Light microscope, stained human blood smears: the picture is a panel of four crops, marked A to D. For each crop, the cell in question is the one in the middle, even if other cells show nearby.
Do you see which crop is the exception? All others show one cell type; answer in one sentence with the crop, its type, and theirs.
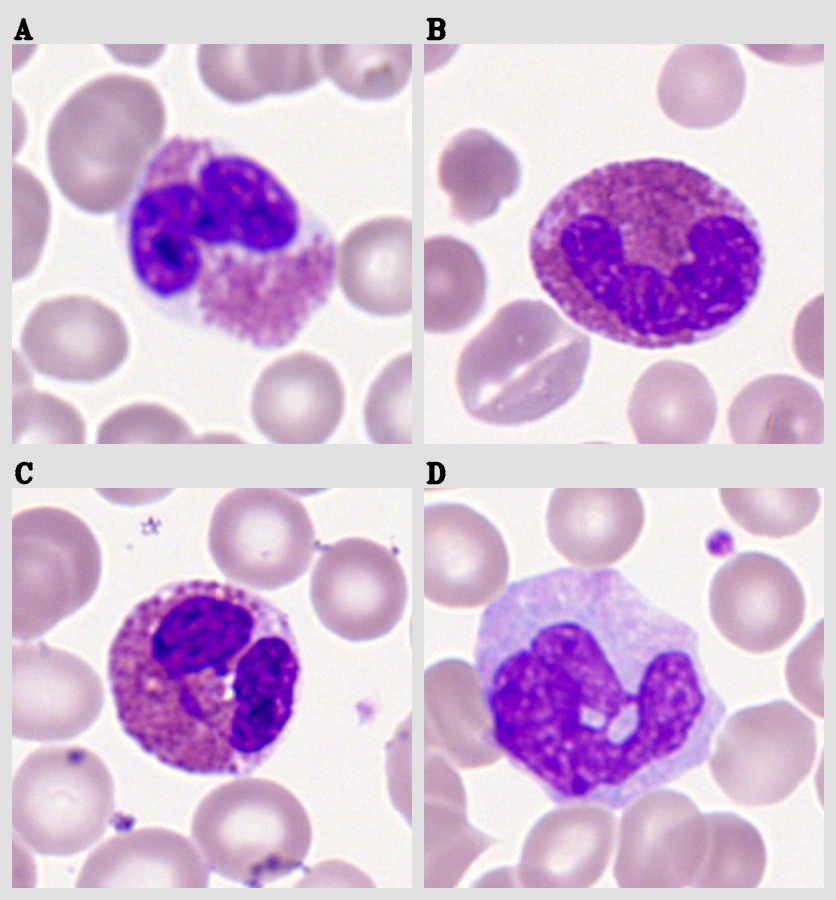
Crop D contains a monocyte, setting it apart from the other crops, which all contain eosinophils.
